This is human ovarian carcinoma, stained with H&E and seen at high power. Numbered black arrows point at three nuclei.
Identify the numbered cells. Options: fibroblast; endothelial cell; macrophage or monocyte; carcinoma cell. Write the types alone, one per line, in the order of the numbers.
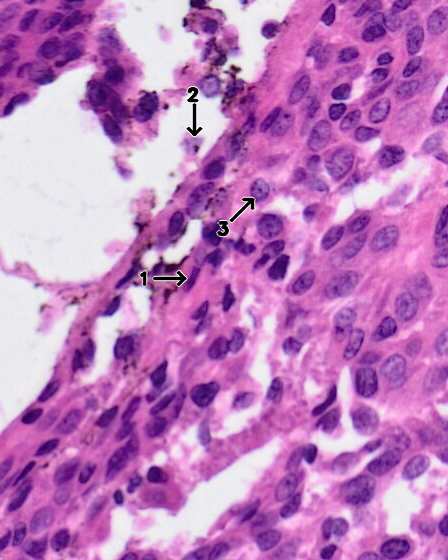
endothelial cell
macrophage or monocyte
macrophage or monocyte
